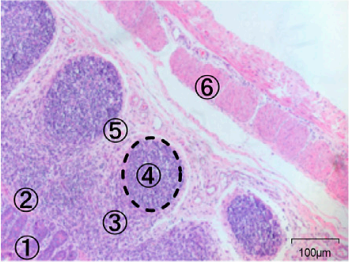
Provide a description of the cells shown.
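This section of intestinal wall shows rounded lymphoid follicles set between the mucosa and the muscle coat. Each follicle is a dense, purple aggregate of small round cells with little cytoplasm between them. Between and beside the follicles the tissue is more loosely cellular and paler. Along the upper right runs a broad pink band of smooth muscle with elongated fibres, separated from the follicles by pale, loose connective tissue. Toward the lower left the mucosa with its epithelium and cellular lamina propria fills the field.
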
